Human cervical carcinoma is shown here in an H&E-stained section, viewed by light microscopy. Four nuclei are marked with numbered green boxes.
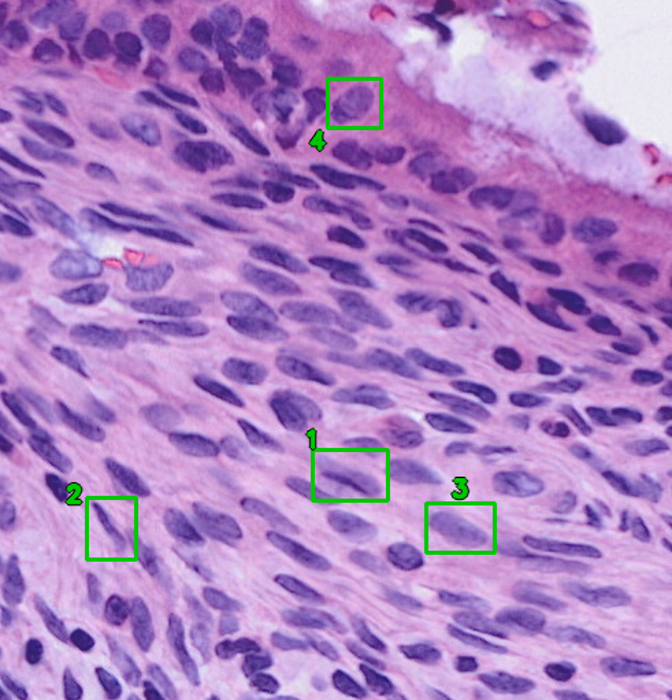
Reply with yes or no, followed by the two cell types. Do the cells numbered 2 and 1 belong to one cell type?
Yes, just like cell 2, cell 1 is one of the fibroblasts.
